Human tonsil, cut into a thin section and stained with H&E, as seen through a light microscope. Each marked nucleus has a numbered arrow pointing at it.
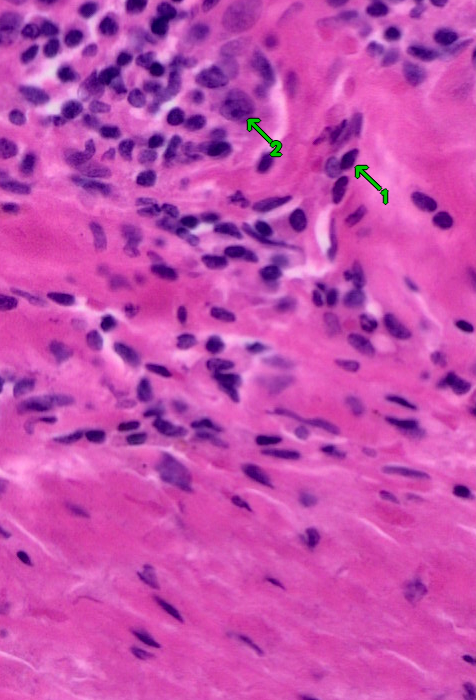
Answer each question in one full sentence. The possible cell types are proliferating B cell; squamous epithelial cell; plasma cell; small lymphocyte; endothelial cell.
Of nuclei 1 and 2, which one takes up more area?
The larger nucleus is 2, at roughly 3 times the area of 1.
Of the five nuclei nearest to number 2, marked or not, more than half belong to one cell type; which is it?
Endothelial cells make up most of the five nuclei closest to number 2.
